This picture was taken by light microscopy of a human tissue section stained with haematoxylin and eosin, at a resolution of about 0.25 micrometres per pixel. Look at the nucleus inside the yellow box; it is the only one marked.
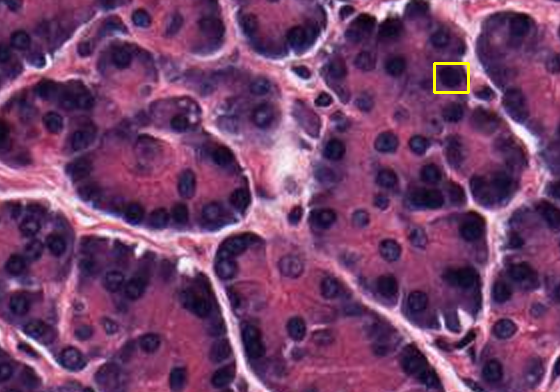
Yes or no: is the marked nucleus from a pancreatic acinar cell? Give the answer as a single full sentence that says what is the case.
Yes, the marked nucleus belongs to a pancreatic acinar cell.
